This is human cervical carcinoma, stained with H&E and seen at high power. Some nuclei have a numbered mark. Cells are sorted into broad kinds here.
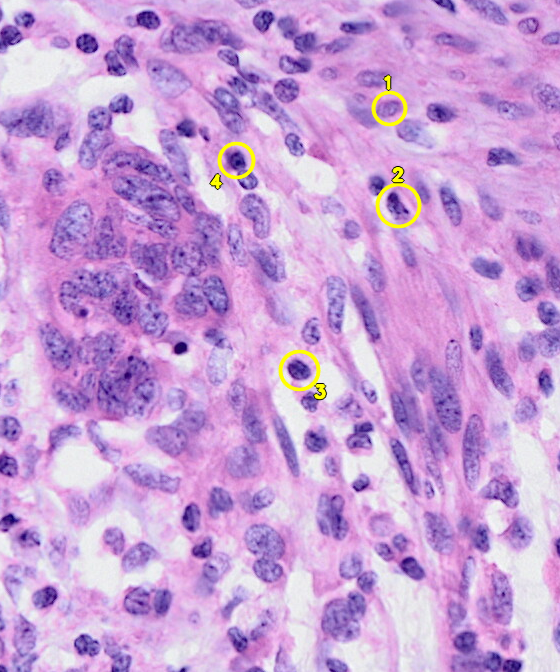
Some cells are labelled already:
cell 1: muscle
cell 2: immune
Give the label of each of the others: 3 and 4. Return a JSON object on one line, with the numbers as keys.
{"3": "immune", "4": "immune"}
